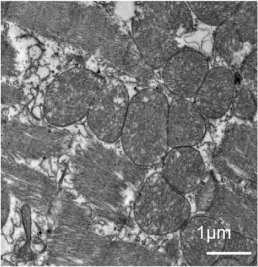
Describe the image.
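Cardiac muscle seen by electron microscopy, with striated myofibrils and large clusters of mitochondria lying between them. The mitochondria are rounded to oval, closely packed and bounded by distinct membranes, with internal cristae. Small pale spaces lie scattered between the fibres.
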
